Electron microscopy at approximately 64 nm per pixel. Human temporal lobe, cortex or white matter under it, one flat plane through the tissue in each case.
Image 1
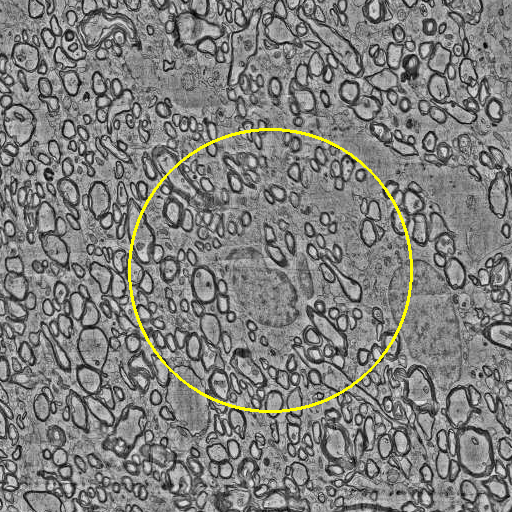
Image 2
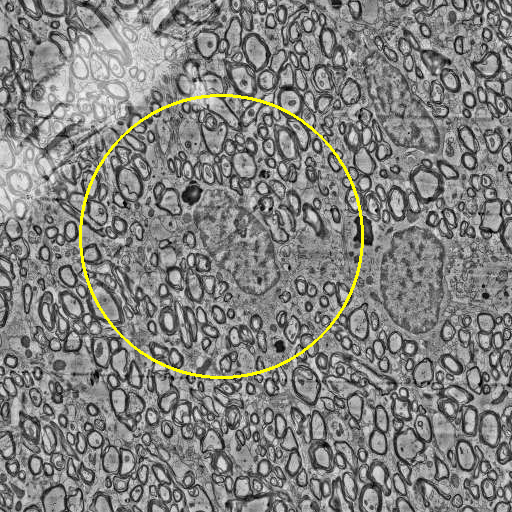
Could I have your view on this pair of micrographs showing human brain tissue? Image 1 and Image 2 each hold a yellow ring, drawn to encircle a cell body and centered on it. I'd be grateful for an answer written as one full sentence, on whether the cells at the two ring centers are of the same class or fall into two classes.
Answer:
The cells at the centers of the two rings fall into two classes.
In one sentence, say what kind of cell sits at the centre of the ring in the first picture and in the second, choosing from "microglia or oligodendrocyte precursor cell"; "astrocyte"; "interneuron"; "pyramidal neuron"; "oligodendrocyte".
The first picture's ringed cell is a microglial cell or oligodendrocyte precursor cell, while the second picture's is an oligodendrocyte.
